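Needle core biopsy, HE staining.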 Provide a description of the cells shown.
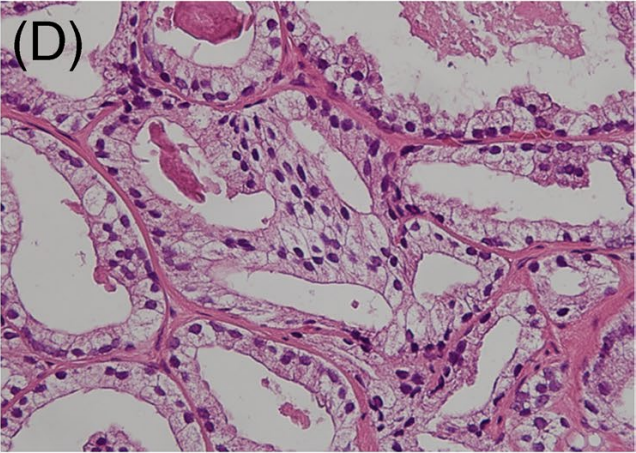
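This view shows tumour glands packed closely together with little intervening stroma. Thin pink stromal septa separate neighbouring glands. Some lumens contain pink eosinophilic material. In places, glands appear to merge with one another.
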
